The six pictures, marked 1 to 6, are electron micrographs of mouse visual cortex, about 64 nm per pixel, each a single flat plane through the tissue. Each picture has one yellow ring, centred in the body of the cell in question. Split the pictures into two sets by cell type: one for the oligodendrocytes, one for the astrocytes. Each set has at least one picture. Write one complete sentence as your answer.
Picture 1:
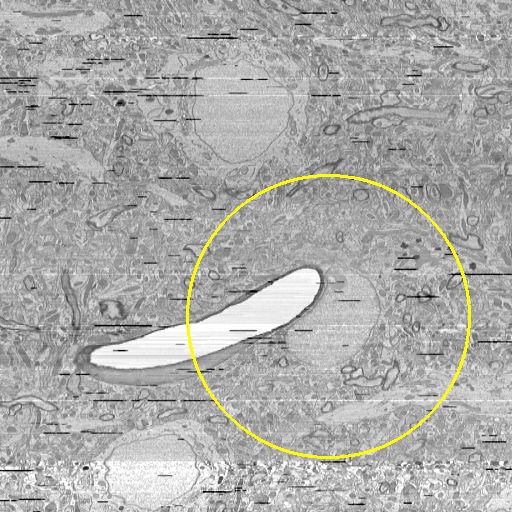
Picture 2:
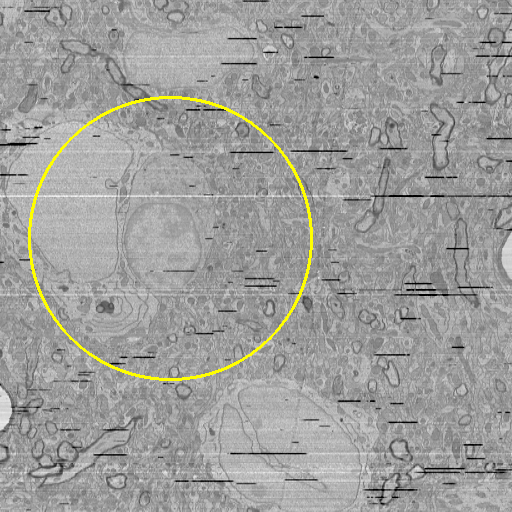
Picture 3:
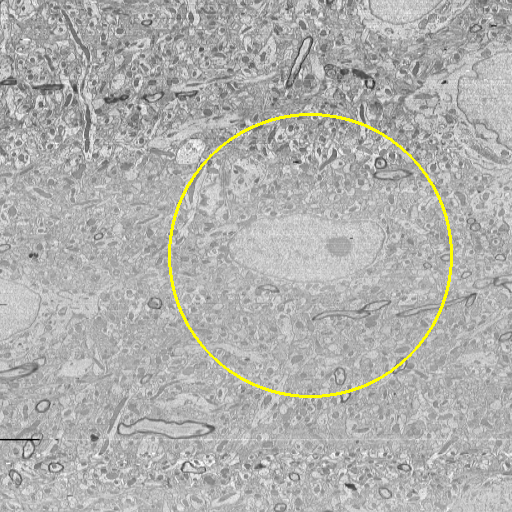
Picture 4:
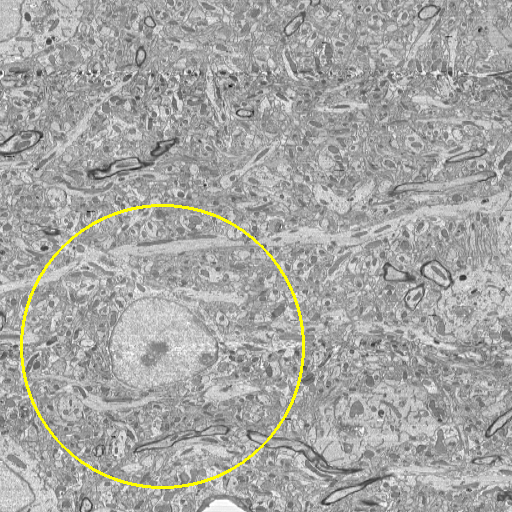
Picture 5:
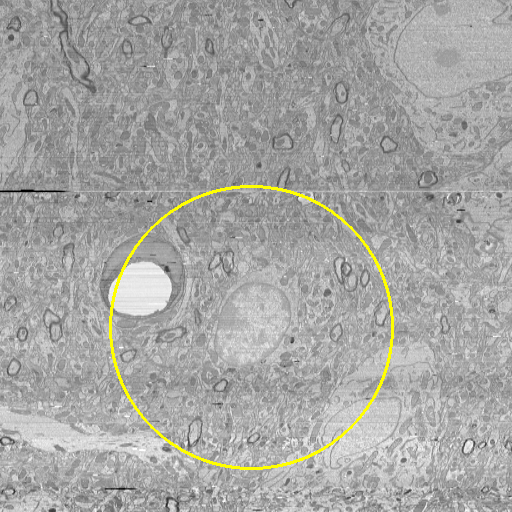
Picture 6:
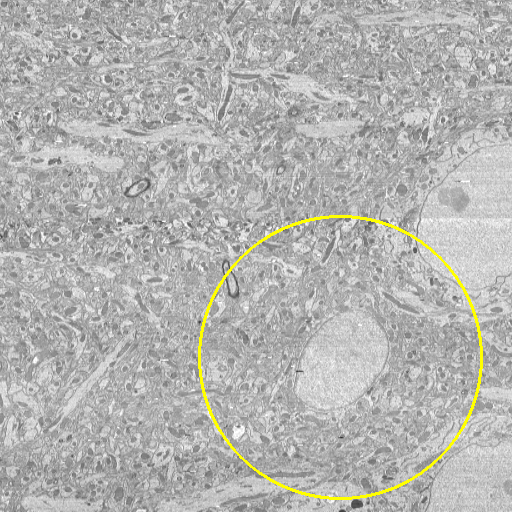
Pictures 2 and 5 show oligodendrocytes, and pictures 1, 3, 4 and 6 show astrocytes.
